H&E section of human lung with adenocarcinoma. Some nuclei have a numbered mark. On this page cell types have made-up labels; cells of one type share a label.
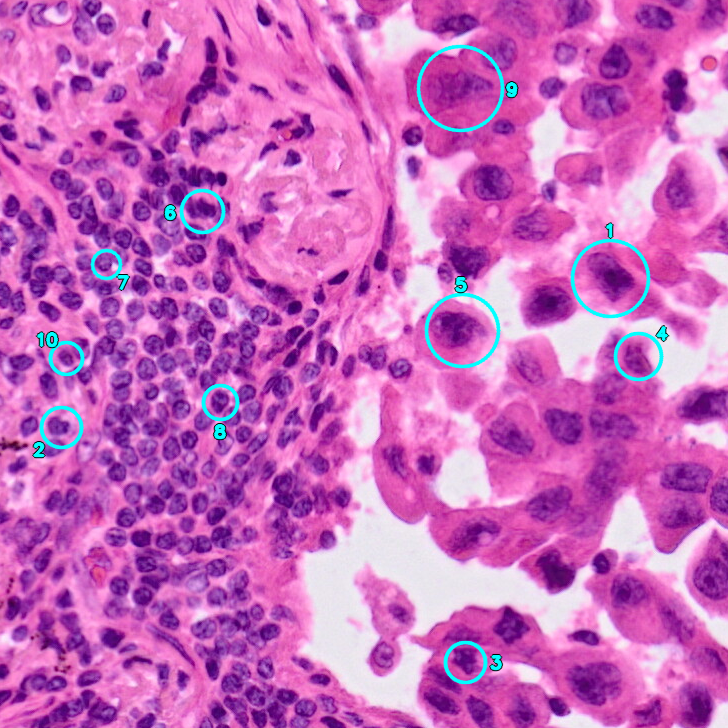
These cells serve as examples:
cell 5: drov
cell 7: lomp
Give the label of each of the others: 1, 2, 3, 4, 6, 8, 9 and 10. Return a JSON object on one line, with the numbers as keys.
{"1": "drov", "2": "lomp", "3": "drov", "4": "drov", "6": "lomp", "8": "lomp", "9": "drov", "10": "lomp"}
